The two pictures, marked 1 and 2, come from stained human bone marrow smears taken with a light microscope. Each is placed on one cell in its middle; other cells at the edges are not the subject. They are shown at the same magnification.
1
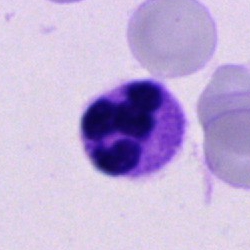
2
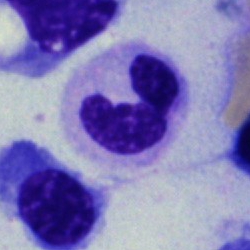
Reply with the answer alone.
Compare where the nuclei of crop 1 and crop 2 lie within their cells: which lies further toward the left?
1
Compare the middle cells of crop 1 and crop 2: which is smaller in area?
1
